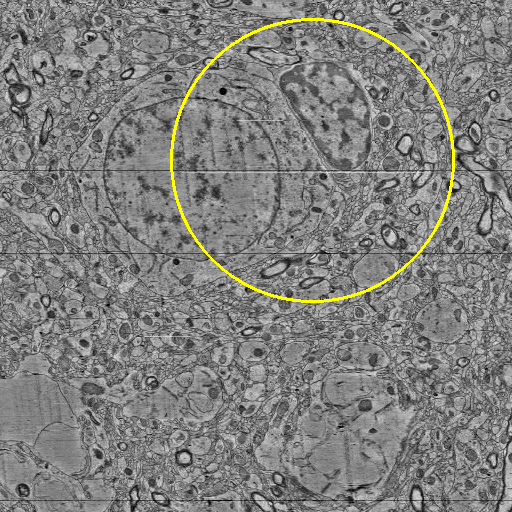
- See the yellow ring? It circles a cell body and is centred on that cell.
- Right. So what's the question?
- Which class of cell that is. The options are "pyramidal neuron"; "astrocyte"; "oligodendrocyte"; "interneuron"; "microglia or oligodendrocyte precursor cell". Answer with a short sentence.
The centre of the ring holds a microglial cell or oligodendrocyte precursor cell.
